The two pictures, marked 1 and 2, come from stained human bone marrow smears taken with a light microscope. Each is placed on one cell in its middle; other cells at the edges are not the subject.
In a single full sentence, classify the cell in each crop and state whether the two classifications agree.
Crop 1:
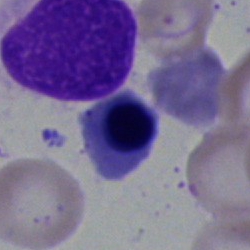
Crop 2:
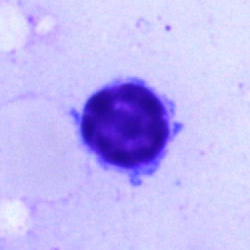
No, crop 2 shows a lymphocyte, and crop 1 shows a normoblast.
